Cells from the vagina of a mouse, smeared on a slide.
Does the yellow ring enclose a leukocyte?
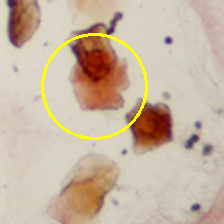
No. The ring encloses a cornified epithelial cell.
